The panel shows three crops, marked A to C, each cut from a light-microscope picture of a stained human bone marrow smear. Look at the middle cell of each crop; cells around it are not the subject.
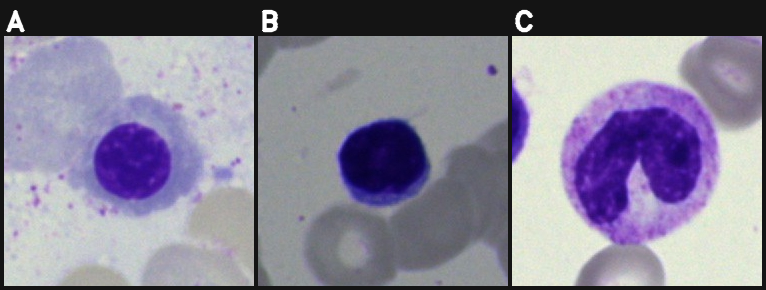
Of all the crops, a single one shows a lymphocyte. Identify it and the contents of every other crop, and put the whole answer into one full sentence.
Crop B is the one showing a lymphocyte, whereas crop A is an erythroblast and crop C is a band neutrophil.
